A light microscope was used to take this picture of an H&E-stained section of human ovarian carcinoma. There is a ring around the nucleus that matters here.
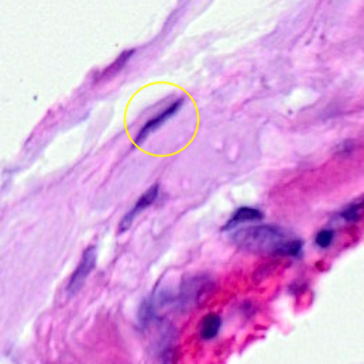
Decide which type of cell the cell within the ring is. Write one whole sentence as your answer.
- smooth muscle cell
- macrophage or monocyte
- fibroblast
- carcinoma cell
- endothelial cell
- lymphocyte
For the purposes of cell typing, the cell within the ring is categorized as a fibroblast.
